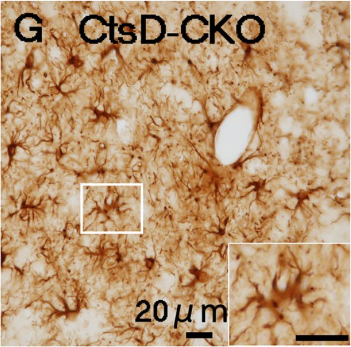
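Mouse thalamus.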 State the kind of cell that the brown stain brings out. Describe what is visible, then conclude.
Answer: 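Astrocytes. Many star-shaped brown cells with numerous fine radiating processes. Processes reach a blood vessel.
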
